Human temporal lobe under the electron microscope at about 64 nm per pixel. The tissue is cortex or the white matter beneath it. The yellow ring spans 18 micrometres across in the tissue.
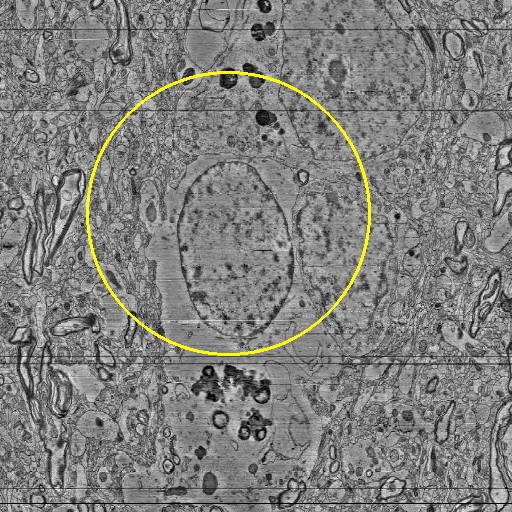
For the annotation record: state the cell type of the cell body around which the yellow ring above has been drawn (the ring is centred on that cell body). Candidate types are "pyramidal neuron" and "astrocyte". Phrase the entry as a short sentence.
The ringed cell is an astrocyte.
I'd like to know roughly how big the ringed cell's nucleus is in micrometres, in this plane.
Roughly 12 micrometres by 7 micrometres, so the nucleus is clearly longer than it is wide in this plane.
